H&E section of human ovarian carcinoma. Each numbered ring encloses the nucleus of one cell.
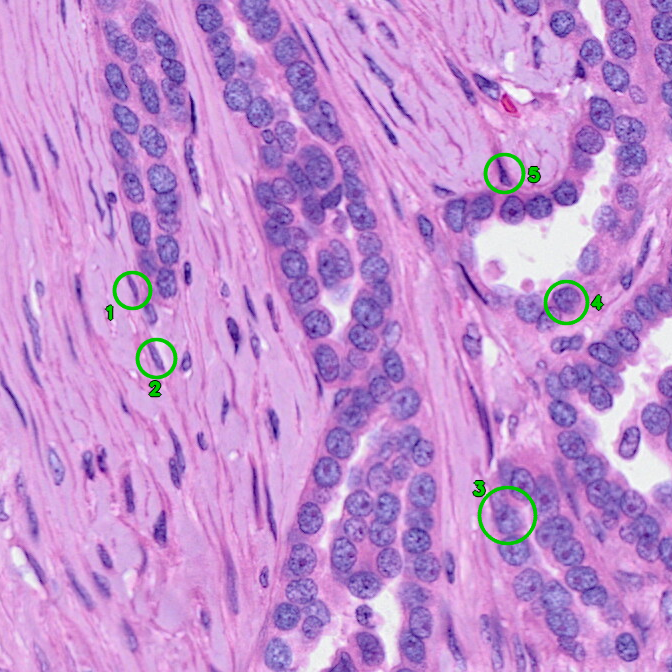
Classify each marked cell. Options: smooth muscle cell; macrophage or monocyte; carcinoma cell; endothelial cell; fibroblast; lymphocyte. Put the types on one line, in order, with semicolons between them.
fibroblast; fibroblast; carcinoma cell; carcinoma cell; fibroblast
